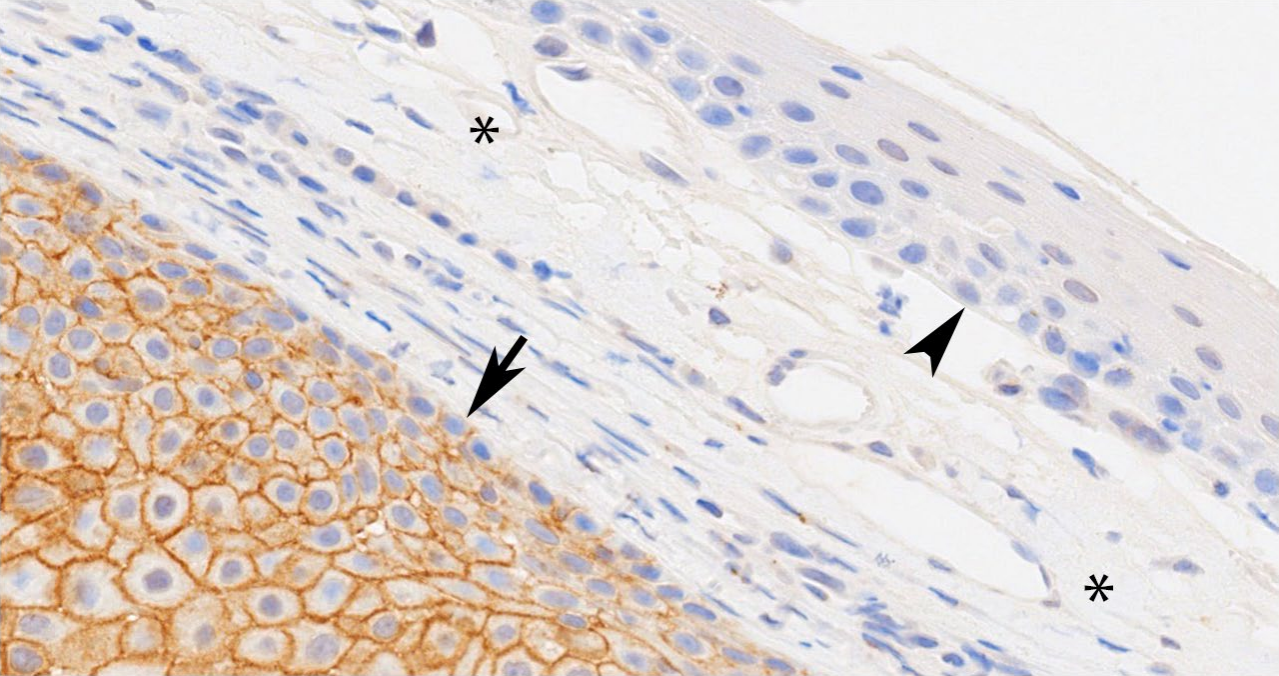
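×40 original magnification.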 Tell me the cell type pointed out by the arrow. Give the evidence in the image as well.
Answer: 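Neoplastic epithelial cells. The arrow points to the edge of a compact island of polygonal cells at lower left. The cells have round central nuclei and brown-outlined borders. The island is sharply separated from the surrounding pale stroma.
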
